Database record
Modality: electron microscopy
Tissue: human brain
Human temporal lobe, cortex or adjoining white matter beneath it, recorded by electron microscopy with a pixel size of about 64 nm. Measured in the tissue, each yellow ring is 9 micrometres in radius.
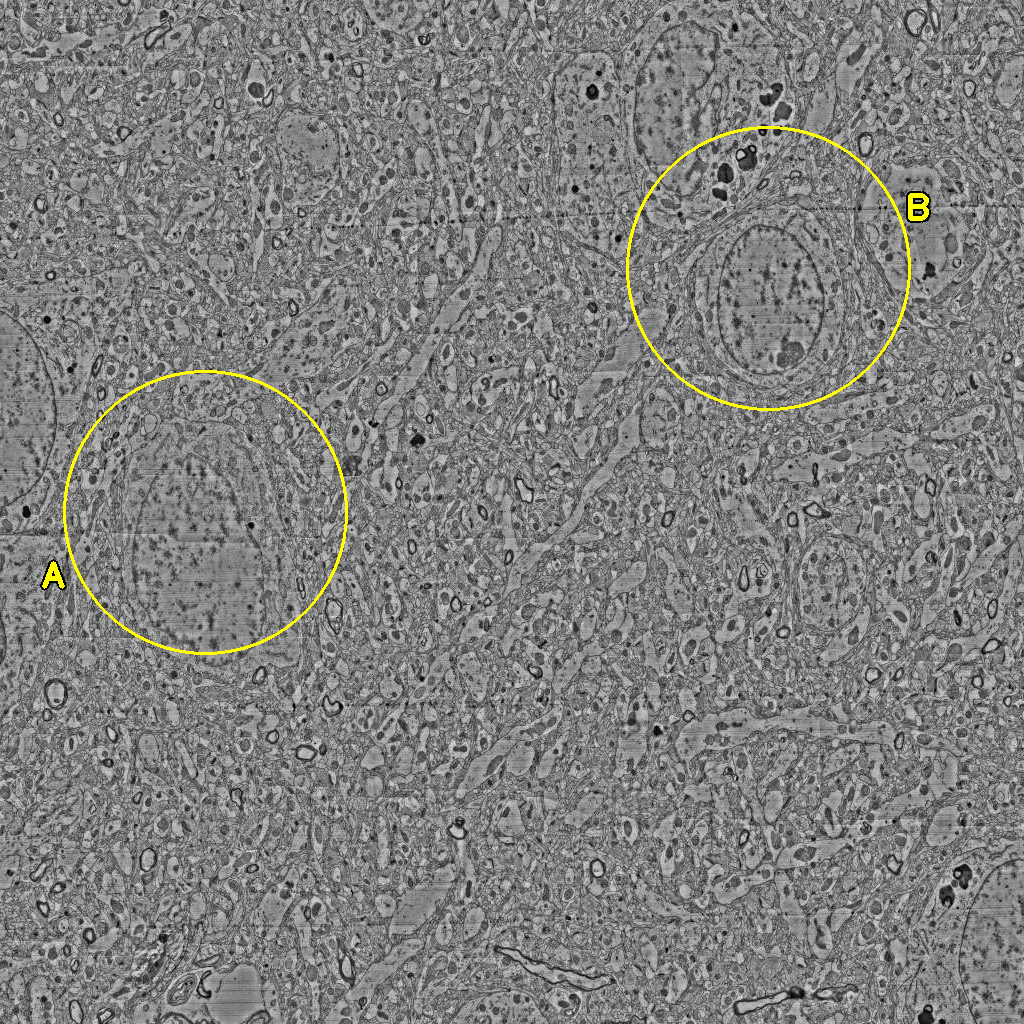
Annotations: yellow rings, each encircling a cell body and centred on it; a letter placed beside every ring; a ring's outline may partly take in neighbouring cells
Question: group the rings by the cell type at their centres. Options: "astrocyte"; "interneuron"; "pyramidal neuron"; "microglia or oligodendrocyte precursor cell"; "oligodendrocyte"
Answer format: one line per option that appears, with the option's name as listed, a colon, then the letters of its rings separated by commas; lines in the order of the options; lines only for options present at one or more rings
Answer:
interneuron: A
pyramidal neuron: B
